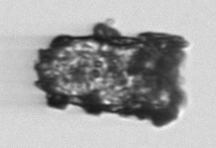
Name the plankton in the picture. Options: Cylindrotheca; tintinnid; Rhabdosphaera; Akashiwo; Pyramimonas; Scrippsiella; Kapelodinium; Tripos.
tintinnid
